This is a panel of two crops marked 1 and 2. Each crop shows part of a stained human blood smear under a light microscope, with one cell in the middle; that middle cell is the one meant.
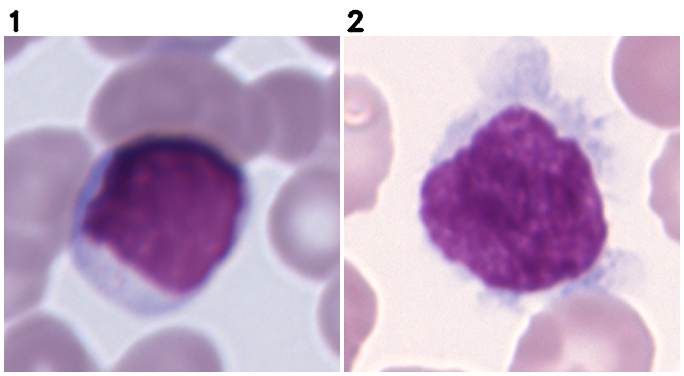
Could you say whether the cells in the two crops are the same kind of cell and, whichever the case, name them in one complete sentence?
No, crop 1 shows a large granular lymphocyte, with a hairy cell shown in crop 2.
